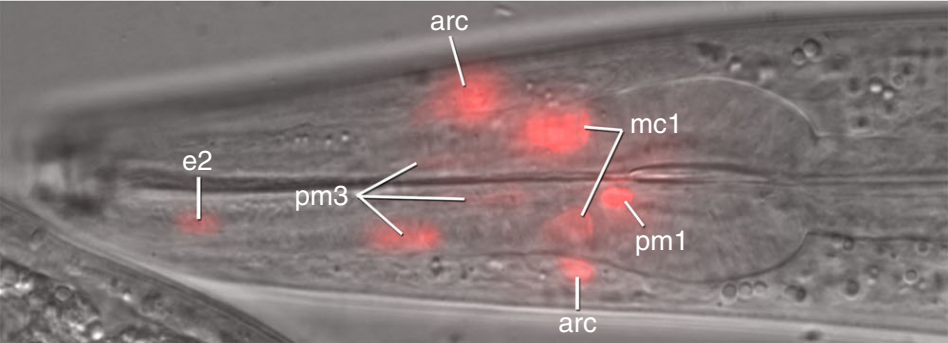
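This is the head of a nematode seen in differential interference contrast, showing the mouth at the left and the anterior pharynx with its bulb-shaped swelling to the right. Round red nuclei lie scattered around the narrow pharyngeal lumen, marking cells of the stoma, the pharyngeal wall and the interface with the body wall. The brightest clusters of red nuclei sit near the anterior end of the swelling of the pharynx, while a smaller single nucleus lies near the mouth. The body wall and cuticle form a smooth outer boundary around these tissues.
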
